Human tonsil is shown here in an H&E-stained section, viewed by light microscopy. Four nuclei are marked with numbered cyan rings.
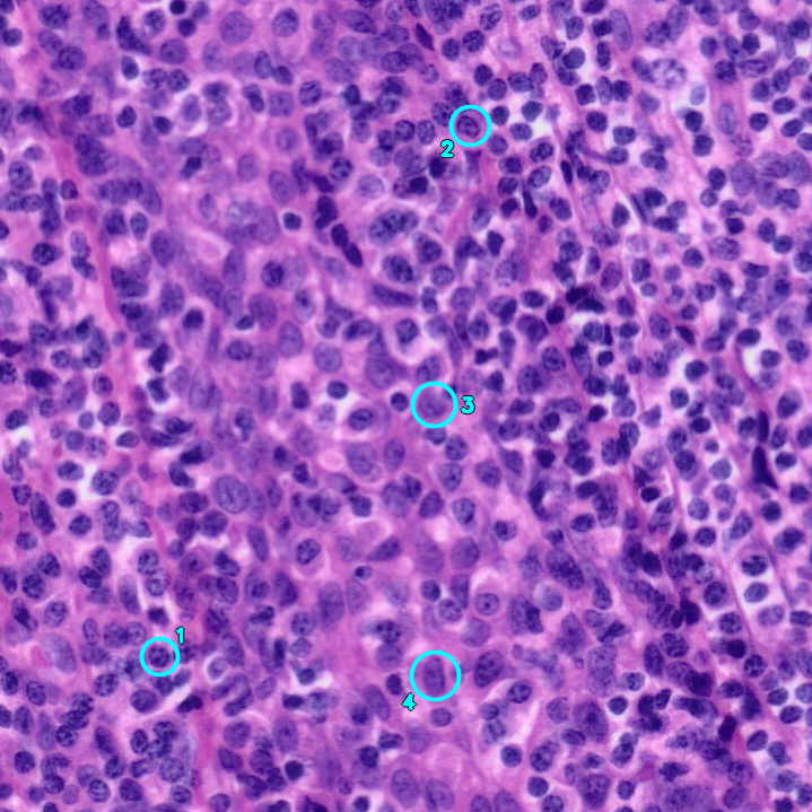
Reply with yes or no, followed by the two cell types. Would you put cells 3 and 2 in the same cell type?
No, cell 3 is a squamous epithelial cell and cell 2 is a plasma cell.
